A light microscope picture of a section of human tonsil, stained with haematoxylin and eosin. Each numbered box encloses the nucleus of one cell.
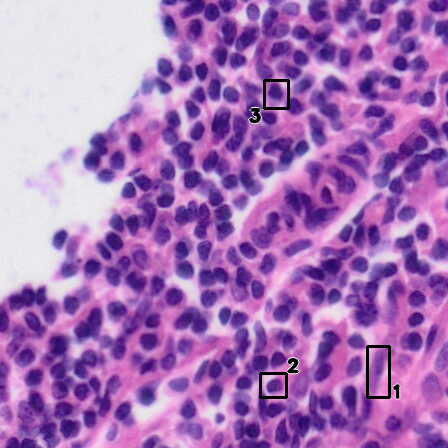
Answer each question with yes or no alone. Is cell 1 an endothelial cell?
yes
